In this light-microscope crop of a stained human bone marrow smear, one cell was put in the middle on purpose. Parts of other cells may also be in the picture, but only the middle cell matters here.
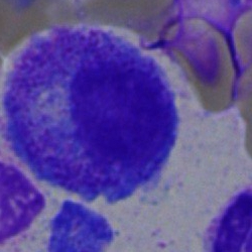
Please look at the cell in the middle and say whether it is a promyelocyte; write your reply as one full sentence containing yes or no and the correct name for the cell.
No, it is a myelocyte and not a promyelocyte that occupies the middle of the crop.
